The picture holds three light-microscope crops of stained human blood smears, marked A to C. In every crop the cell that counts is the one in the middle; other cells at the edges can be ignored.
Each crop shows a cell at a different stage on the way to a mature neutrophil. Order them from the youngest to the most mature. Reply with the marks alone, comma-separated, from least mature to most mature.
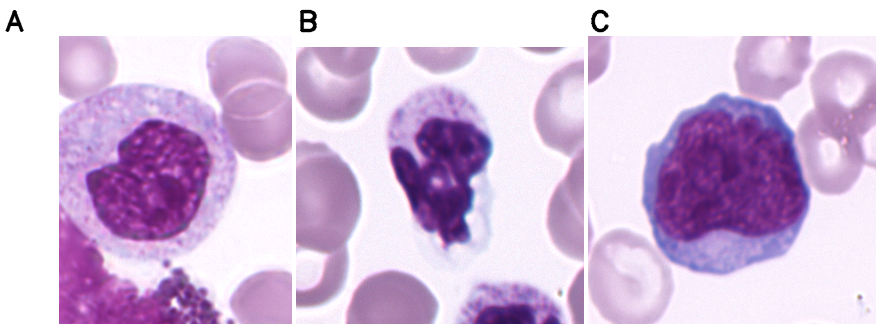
C, A, B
